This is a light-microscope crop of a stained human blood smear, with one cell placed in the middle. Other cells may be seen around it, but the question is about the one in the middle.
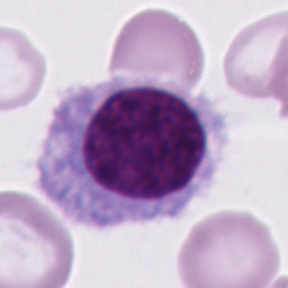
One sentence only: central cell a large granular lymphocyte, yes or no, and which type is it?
No; rather than a large granular lymphocyte, the cell at the center is a hairy cell.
